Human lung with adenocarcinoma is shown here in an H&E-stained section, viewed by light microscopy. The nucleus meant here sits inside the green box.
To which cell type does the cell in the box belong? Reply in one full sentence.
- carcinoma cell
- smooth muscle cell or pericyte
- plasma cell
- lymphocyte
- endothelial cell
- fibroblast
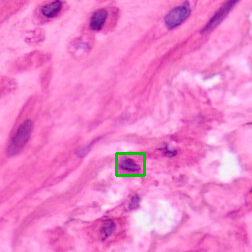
Assigned to a cell type, the cell in the box is a smooth muscle cell or pericyte.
